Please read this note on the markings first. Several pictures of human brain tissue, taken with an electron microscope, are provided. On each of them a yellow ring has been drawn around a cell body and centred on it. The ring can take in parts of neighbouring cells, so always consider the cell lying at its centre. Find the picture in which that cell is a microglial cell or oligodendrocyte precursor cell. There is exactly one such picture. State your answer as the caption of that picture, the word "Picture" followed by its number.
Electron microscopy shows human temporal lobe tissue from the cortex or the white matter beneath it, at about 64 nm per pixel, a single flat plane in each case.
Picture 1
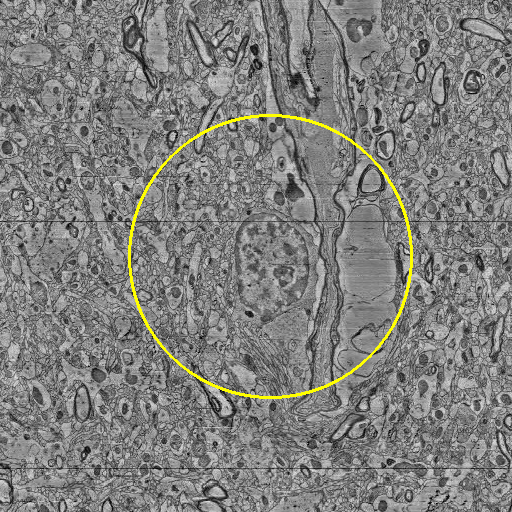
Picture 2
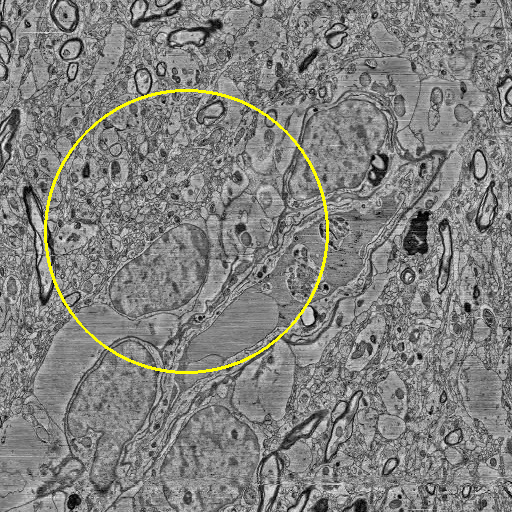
Picture 2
